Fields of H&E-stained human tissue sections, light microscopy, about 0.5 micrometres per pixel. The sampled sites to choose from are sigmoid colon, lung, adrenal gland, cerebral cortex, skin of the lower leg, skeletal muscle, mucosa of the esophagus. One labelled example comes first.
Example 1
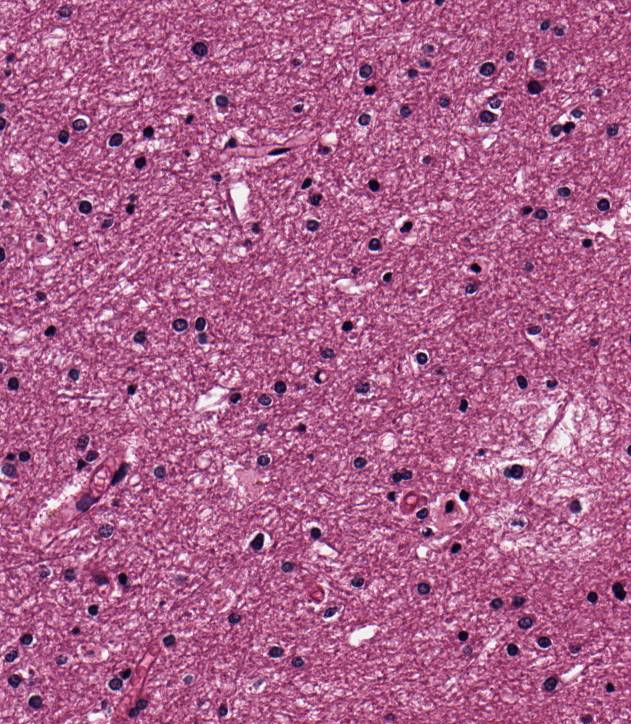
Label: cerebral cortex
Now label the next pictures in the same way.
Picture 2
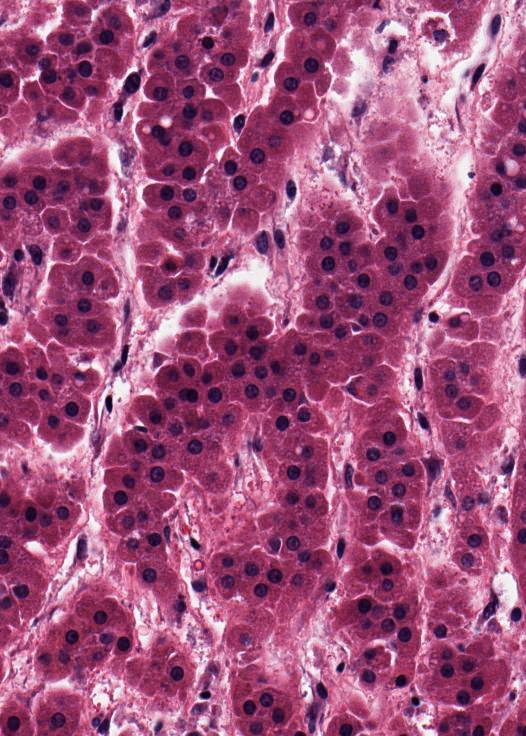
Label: adrenal gland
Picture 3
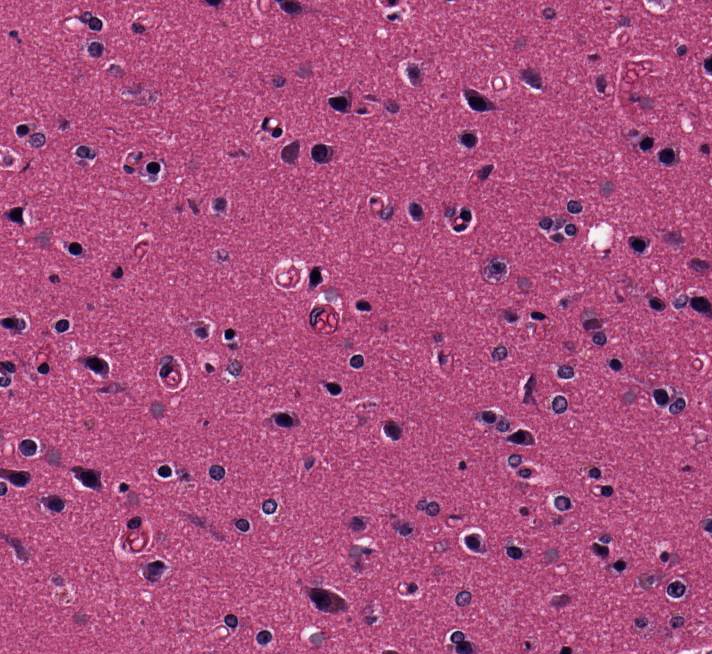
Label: cerebral cortex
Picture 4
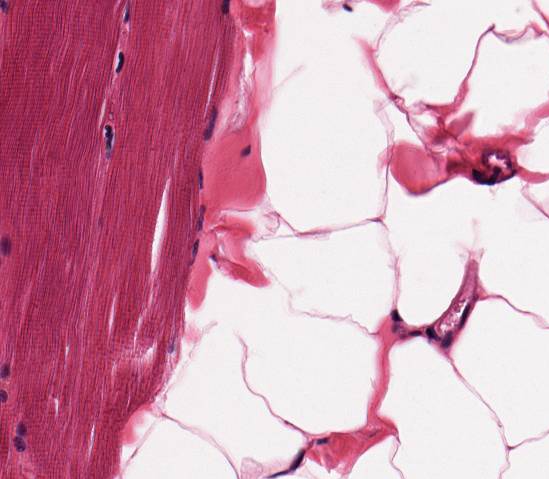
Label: skeletal muscle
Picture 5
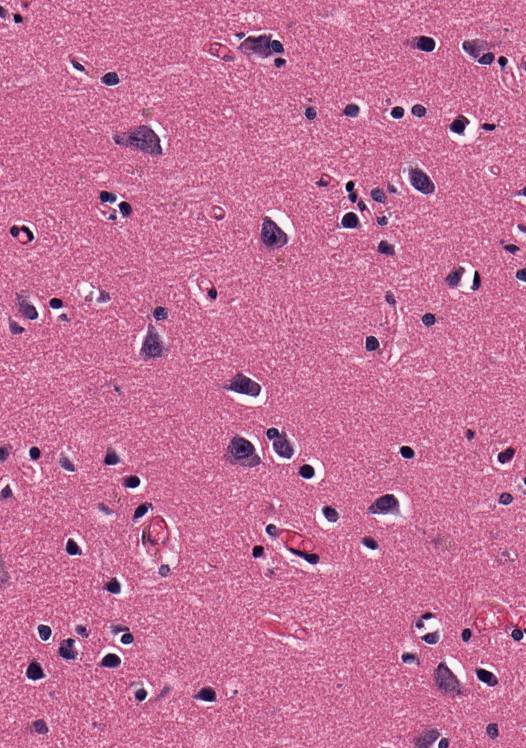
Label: cerebral cortex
